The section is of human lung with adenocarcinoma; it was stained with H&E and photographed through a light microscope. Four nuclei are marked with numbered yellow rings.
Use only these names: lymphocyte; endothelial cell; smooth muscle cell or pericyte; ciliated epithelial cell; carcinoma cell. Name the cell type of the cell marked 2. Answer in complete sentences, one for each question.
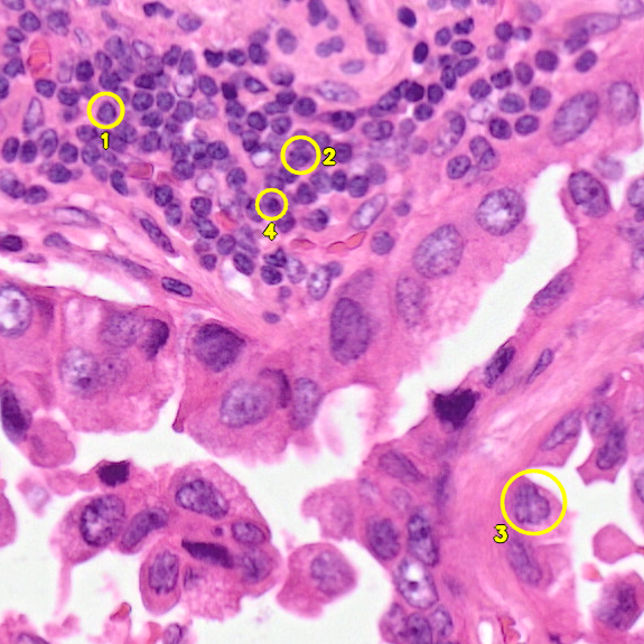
The marked cell with the number 2 is recognised as a lymphocyte.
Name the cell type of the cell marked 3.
The marked nucleus 3 is that of a carcinoma cell.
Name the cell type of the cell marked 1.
The cell tagged with 1 in this tissue section is a lymphocyte.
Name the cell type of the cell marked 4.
The cell indicated with the number 4 is classed as a lymphocyte.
